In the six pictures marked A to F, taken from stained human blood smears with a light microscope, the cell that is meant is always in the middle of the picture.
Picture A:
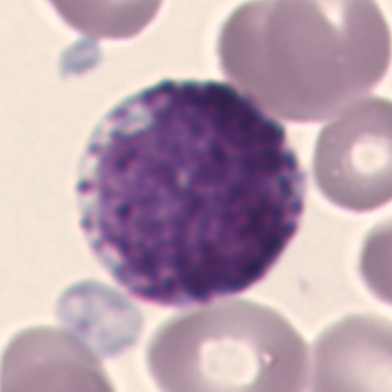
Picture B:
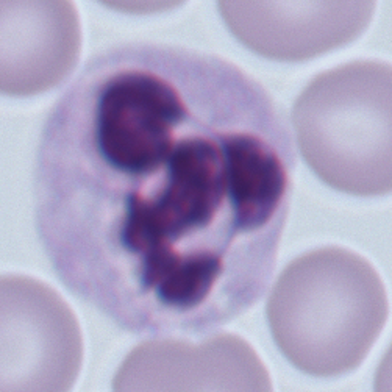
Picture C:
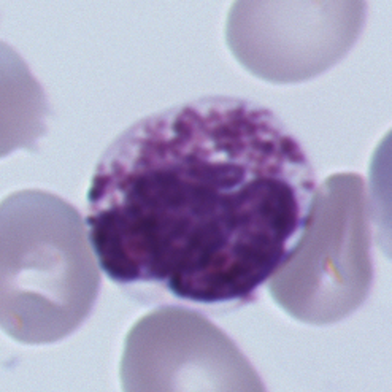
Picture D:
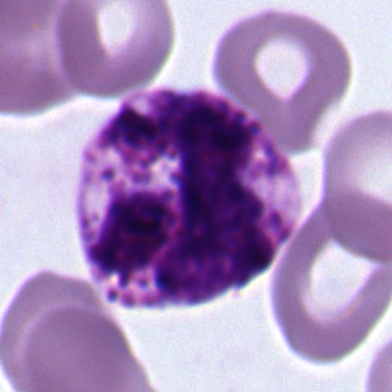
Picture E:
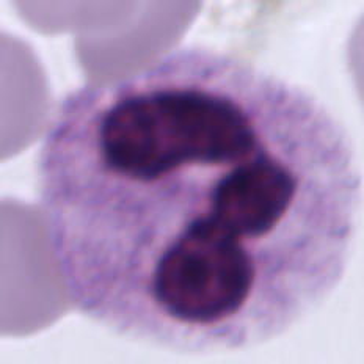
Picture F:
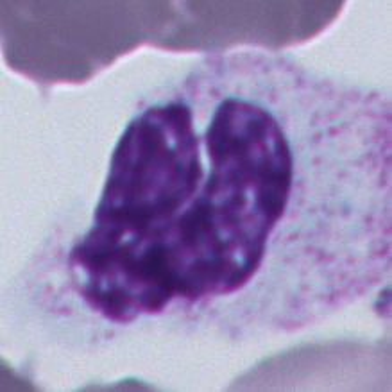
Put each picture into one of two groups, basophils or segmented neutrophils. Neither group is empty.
A: basophil
B: segmented neutrophil
C: basophil
D: basophil
E: segmented neutrophil
F: segmented neutrophil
